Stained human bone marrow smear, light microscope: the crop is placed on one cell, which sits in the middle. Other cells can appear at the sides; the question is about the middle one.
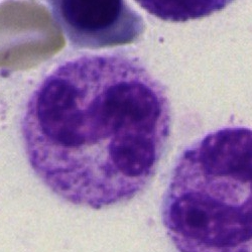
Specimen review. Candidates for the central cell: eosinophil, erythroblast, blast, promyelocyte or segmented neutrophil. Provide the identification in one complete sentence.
For this crop, the cell in the middle is a segmented neutrophil.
